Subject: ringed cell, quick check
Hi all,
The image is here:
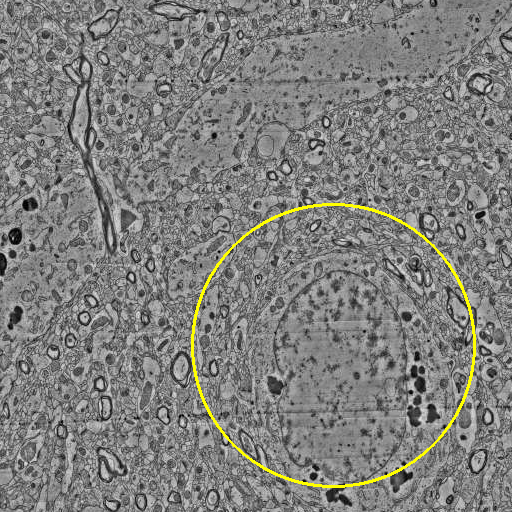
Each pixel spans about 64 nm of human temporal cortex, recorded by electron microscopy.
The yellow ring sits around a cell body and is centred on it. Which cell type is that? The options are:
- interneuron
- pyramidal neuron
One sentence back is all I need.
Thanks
That ringed cell is an interneuron.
